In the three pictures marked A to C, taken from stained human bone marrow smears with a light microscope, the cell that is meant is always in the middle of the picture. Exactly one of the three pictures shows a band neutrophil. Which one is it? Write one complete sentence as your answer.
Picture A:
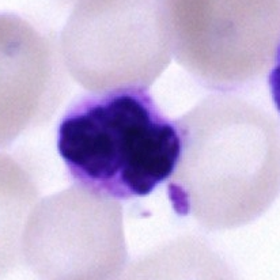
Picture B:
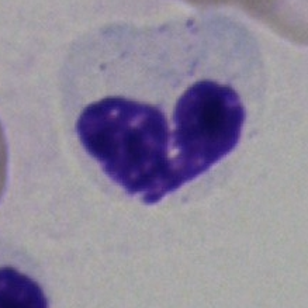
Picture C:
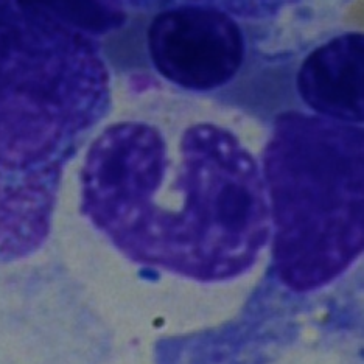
The picture with the band neutrophil is C.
